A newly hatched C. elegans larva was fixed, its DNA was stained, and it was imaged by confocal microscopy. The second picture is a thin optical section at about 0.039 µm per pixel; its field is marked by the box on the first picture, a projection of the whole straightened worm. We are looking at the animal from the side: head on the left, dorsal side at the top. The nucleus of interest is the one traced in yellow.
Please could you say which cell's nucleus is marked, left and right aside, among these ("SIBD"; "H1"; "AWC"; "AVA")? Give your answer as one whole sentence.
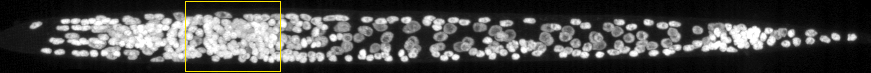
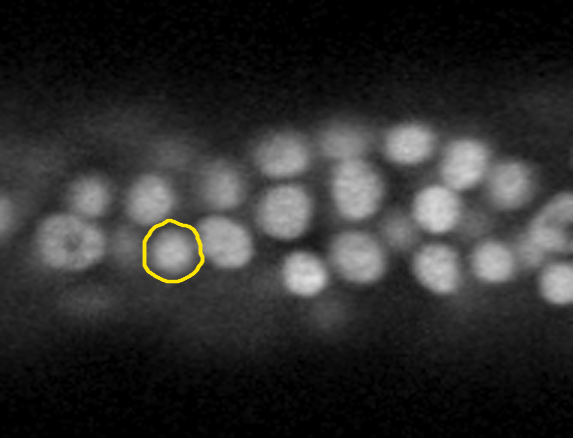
The cell whose nucleus is marked is SIBD, a neuron.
